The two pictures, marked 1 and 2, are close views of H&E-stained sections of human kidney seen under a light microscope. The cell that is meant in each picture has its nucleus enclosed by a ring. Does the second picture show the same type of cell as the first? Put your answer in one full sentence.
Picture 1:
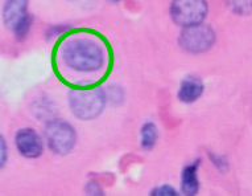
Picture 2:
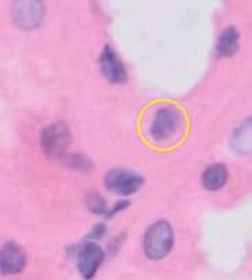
No, picture 1 shows a collecting duct cell and picture 2 shows a “loop of Henle or distal tubule cell”.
